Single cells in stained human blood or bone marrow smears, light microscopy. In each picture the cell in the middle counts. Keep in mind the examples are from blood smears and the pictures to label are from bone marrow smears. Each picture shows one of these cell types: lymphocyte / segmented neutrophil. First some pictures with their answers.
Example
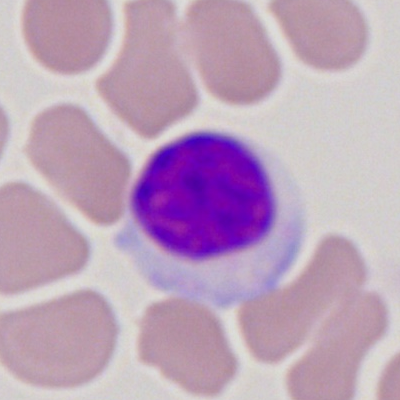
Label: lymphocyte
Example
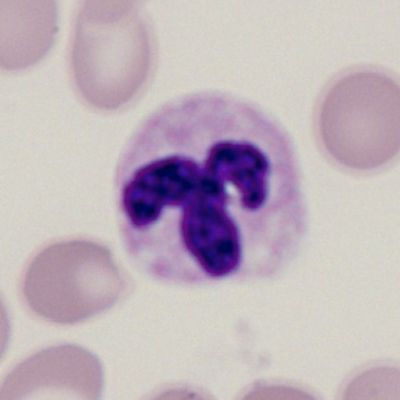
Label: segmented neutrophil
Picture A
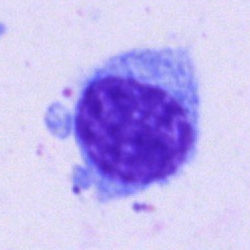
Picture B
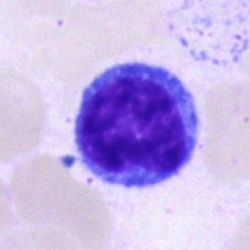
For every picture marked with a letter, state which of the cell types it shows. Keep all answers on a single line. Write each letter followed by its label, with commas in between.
A lymphocyte, B lymphocyte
